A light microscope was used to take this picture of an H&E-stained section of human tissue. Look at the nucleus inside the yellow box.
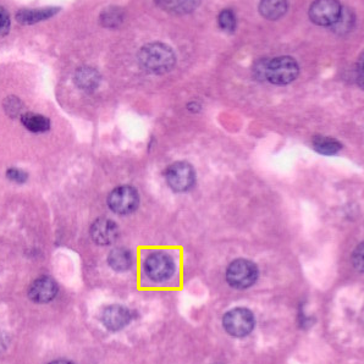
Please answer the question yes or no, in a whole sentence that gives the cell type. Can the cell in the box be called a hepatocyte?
Yes, the identity of the cell in the box is that of a hepatocyte.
